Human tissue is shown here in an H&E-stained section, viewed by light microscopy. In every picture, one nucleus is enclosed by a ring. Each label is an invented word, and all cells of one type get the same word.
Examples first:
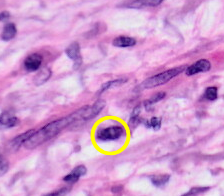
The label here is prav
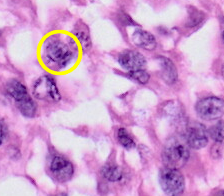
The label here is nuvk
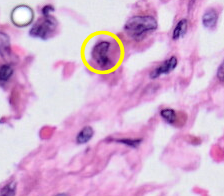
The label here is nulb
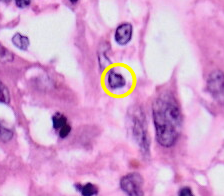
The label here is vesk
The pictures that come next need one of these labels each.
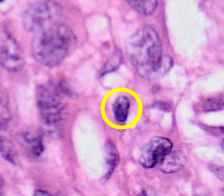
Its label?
vesk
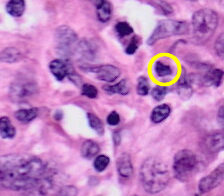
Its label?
vesk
